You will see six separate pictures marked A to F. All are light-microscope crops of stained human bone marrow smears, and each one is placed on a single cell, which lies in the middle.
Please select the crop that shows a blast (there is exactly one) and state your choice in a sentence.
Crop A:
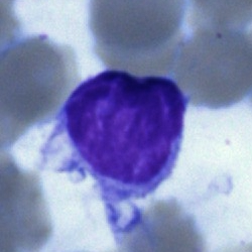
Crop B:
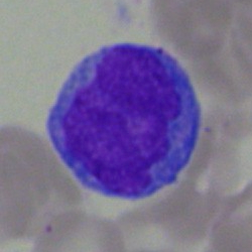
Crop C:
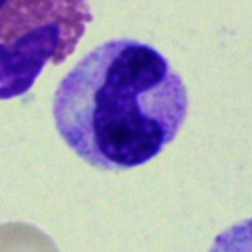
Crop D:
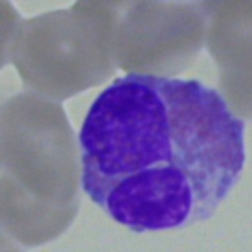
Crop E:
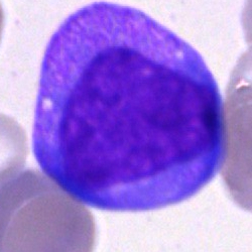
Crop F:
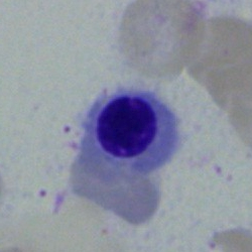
Of the cells presented, the one in crop B is a blast.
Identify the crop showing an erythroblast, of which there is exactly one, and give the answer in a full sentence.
Crop F is where an erythroblast is to be found.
